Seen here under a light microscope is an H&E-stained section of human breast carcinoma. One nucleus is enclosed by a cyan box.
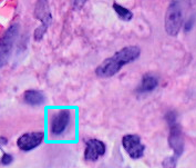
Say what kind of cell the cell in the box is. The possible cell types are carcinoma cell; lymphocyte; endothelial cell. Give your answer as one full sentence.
In the tissue under study, the cell in the box is a lymphocyte.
